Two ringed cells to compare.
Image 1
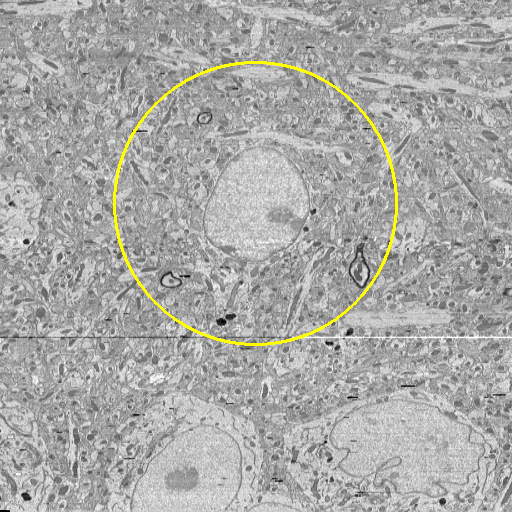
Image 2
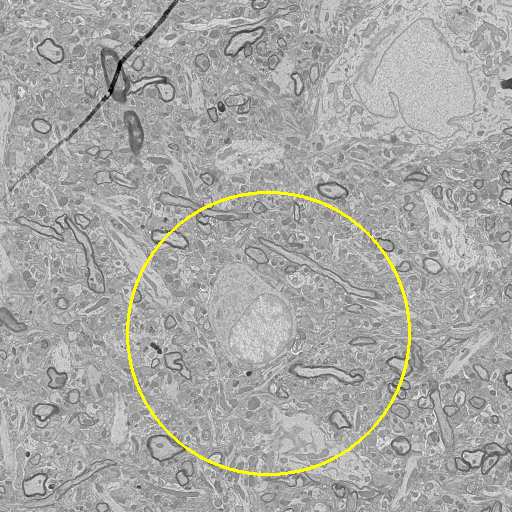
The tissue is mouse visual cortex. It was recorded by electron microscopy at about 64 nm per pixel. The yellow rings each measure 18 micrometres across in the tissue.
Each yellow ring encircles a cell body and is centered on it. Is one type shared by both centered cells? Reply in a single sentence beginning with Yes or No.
No, two types are found among the cells at the centers of the rings.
